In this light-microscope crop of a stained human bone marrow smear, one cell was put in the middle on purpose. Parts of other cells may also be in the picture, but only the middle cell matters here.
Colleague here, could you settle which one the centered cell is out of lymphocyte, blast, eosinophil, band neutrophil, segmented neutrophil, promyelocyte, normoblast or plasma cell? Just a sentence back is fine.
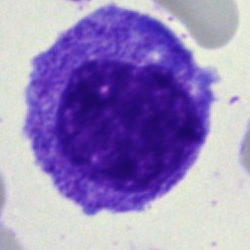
The single cell at the center of the crop is a promyelocyte.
